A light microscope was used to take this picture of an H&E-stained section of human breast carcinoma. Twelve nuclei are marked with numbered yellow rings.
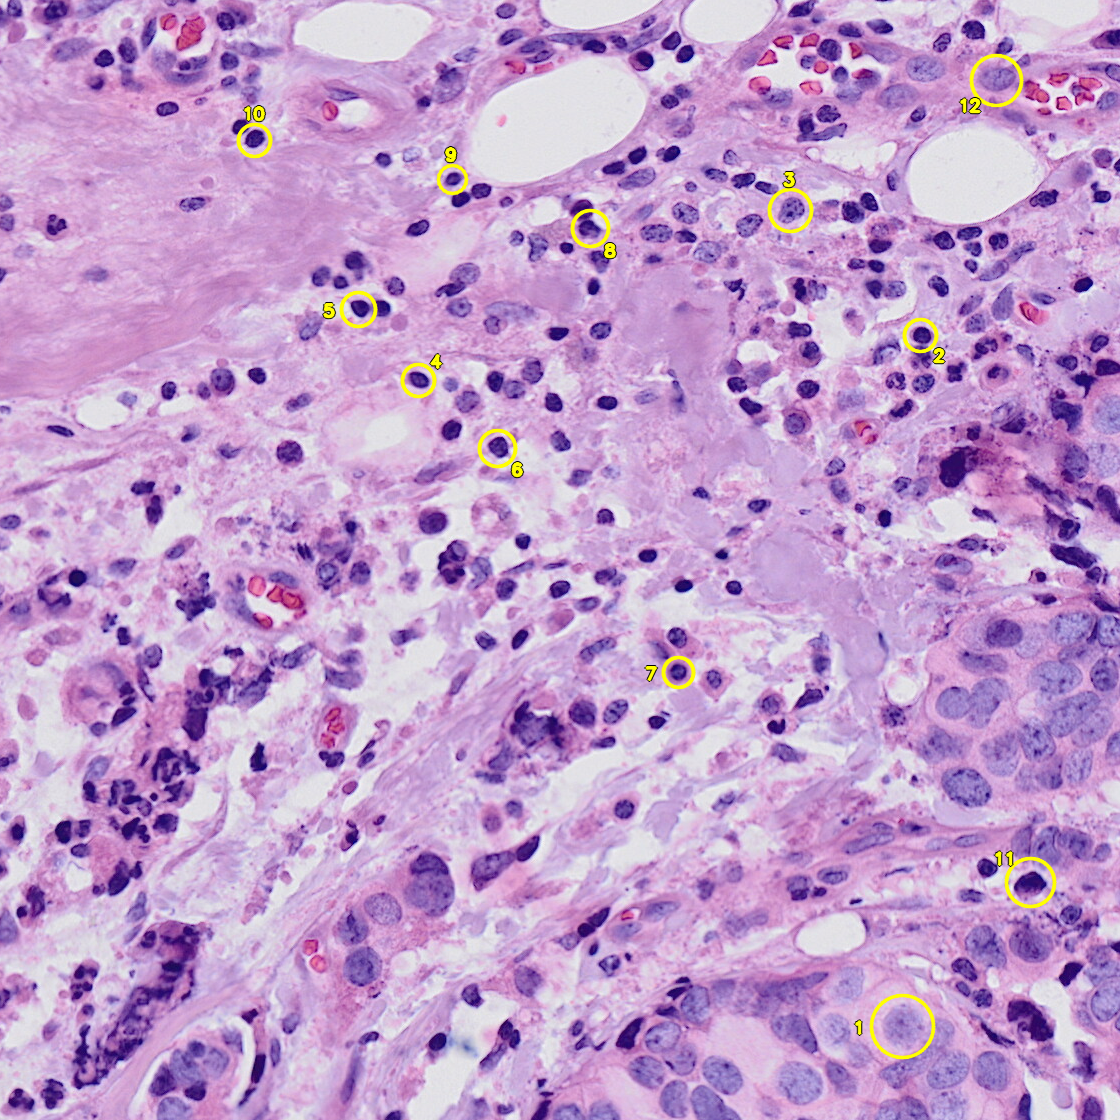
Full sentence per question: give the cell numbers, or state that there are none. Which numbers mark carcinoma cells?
The cells with numbers 1 and 11 are carcinoma cells by type.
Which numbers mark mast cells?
The cells numbered 3 and 7 are identified as mast cells.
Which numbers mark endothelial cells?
Among the cells marked with numbers, the only one that is an endothelial cell is number 12.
